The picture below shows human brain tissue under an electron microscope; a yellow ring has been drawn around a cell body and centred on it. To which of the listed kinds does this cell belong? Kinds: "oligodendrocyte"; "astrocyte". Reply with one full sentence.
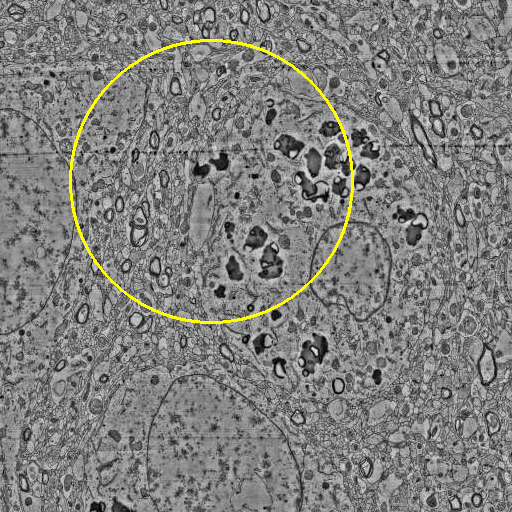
It is an oligodendrocyte that the yellow ring in the picture is centred on.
